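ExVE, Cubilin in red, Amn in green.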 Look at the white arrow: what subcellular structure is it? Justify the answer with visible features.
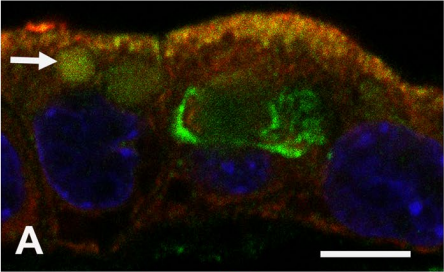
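The arrow points to a round faintly green vesicle. The vesicle lies just beneath the apical cell surface, above the nuclei. On this evidence: large subapical vesicles.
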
